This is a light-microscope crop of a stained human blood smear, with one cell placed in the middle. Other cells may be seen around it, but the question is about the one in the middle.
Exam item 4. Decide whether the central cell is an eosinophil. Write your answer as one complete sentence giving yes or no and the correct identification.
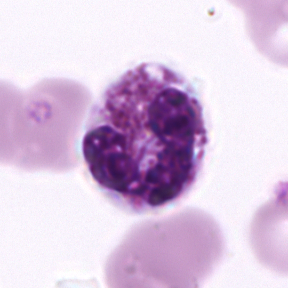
Yes, the middle cell here is an eosinophil.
